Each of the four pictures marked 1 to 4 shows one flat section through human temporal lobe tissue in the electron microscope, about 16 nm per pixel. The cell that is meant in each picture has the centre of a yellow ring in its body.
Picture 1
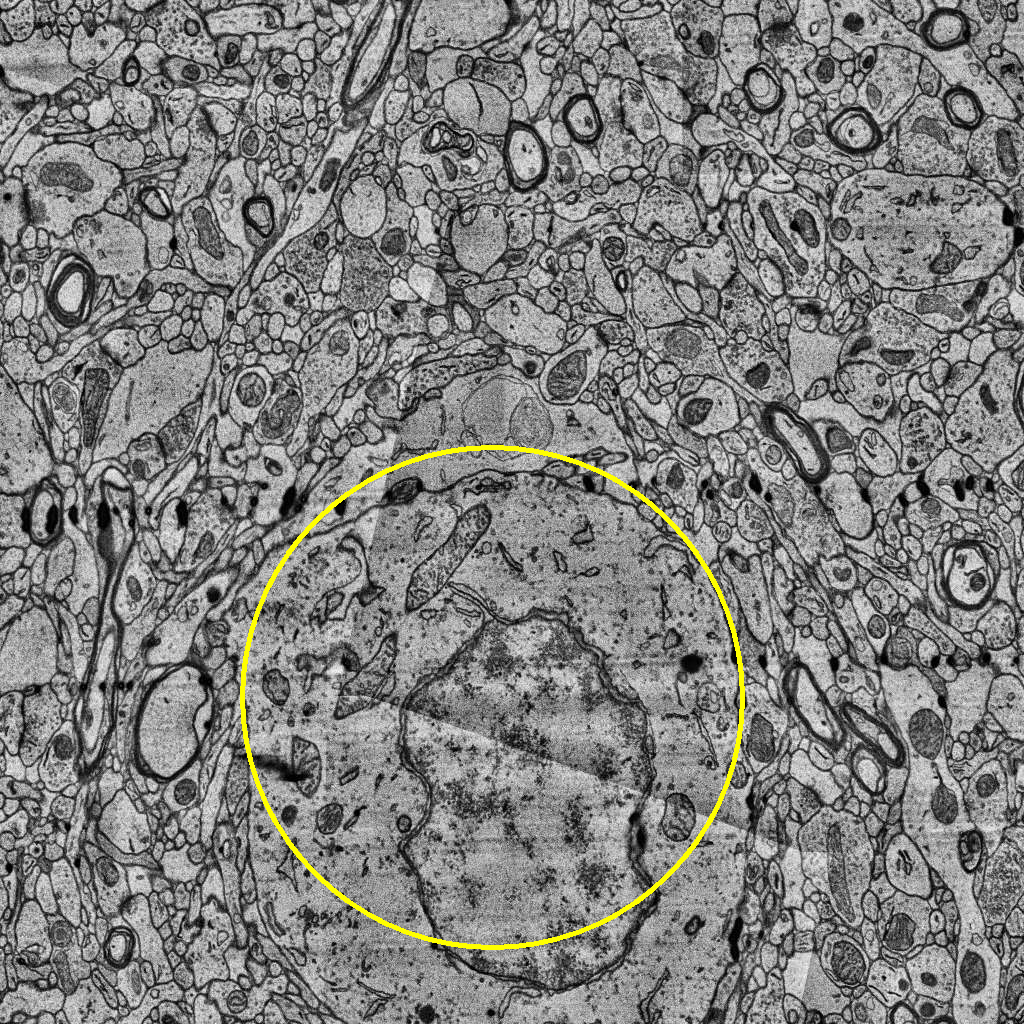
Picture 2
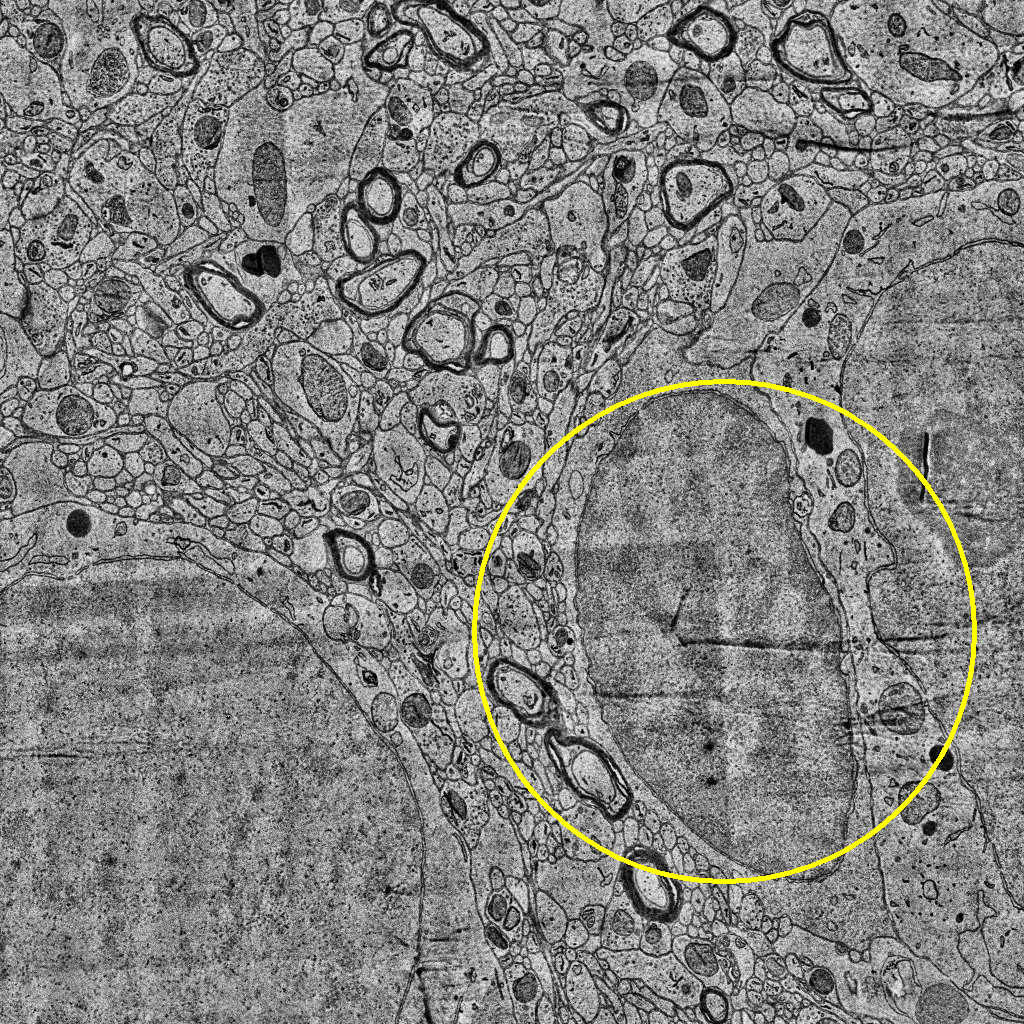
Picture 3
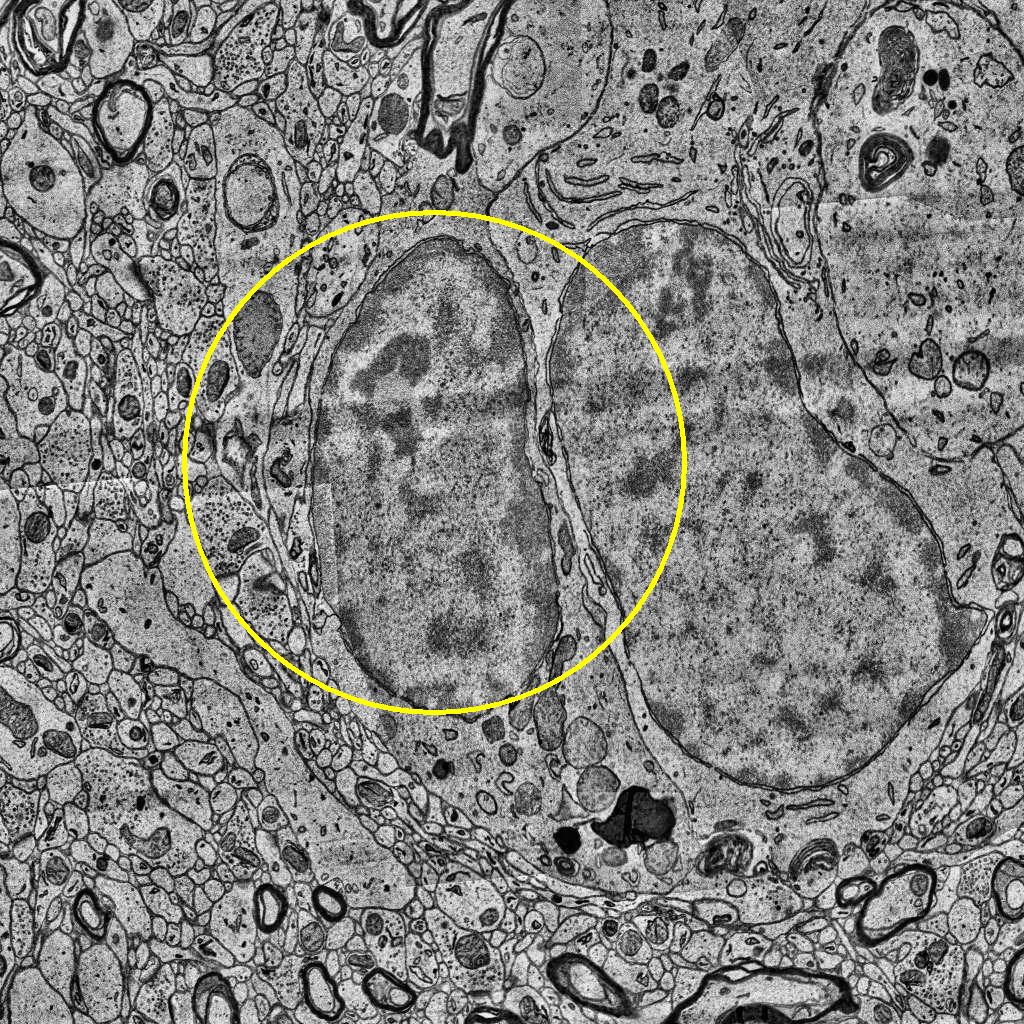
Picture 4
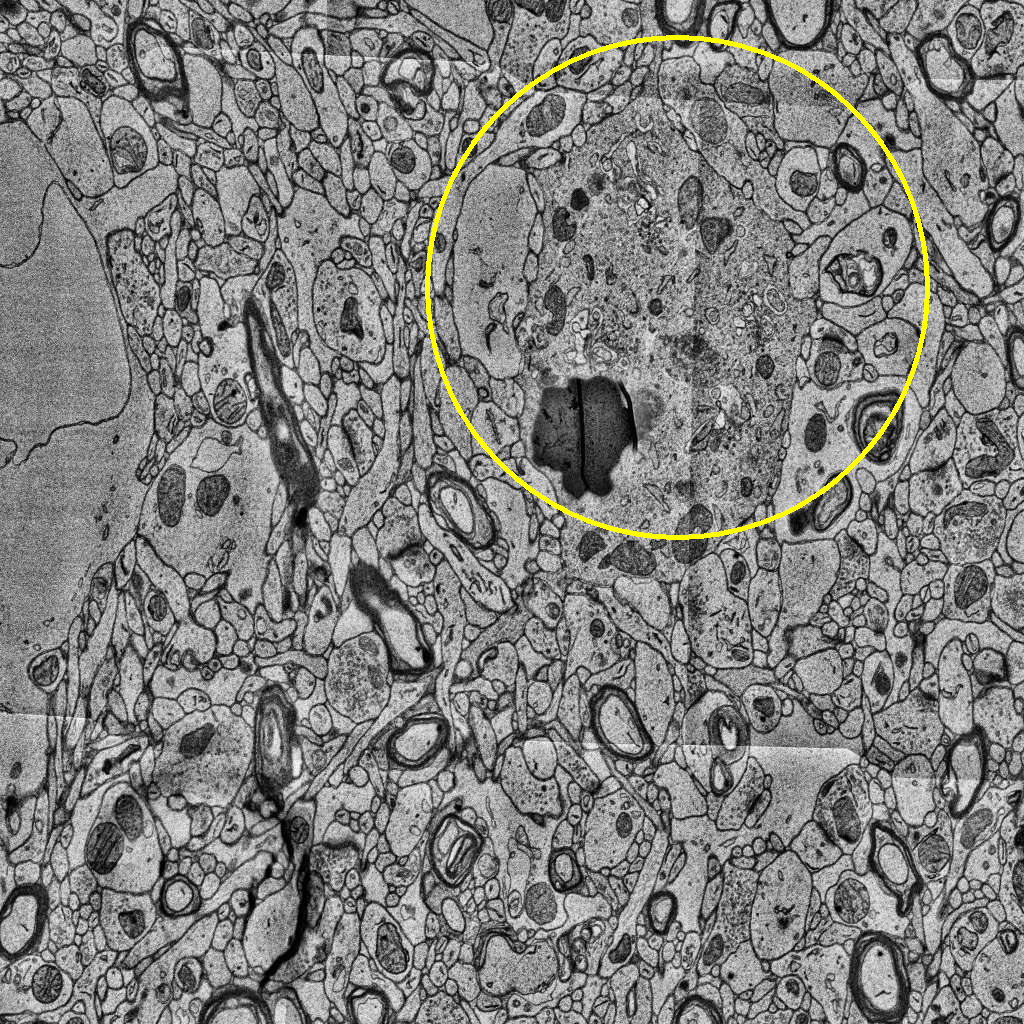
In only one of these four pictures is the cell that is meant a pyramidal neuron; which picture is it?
Picture 1 is the one that shows the pyramidal neuron.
